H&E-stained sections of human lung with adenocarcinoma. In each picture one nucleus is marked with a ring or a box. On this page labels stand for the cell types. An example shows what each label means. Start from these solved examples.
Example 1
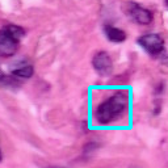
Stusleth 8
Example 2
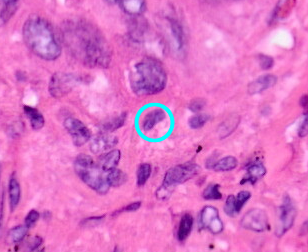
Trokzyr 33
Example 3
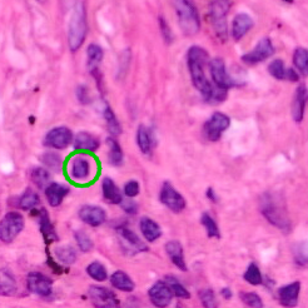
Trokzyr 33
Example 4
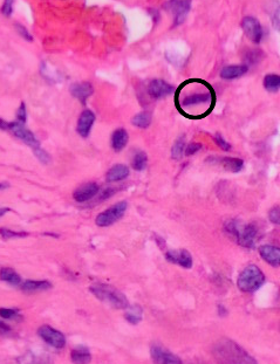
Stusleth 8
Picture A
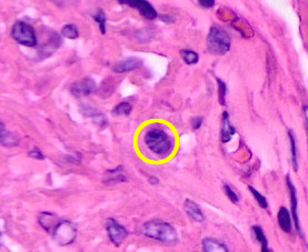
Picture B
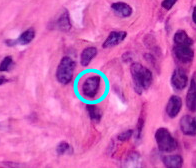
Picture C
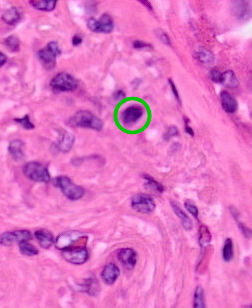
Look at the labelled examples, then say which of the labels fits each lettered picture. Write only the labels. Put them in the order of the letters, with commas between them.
Stusleth 8, Stusleth 8, Stusleth 8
